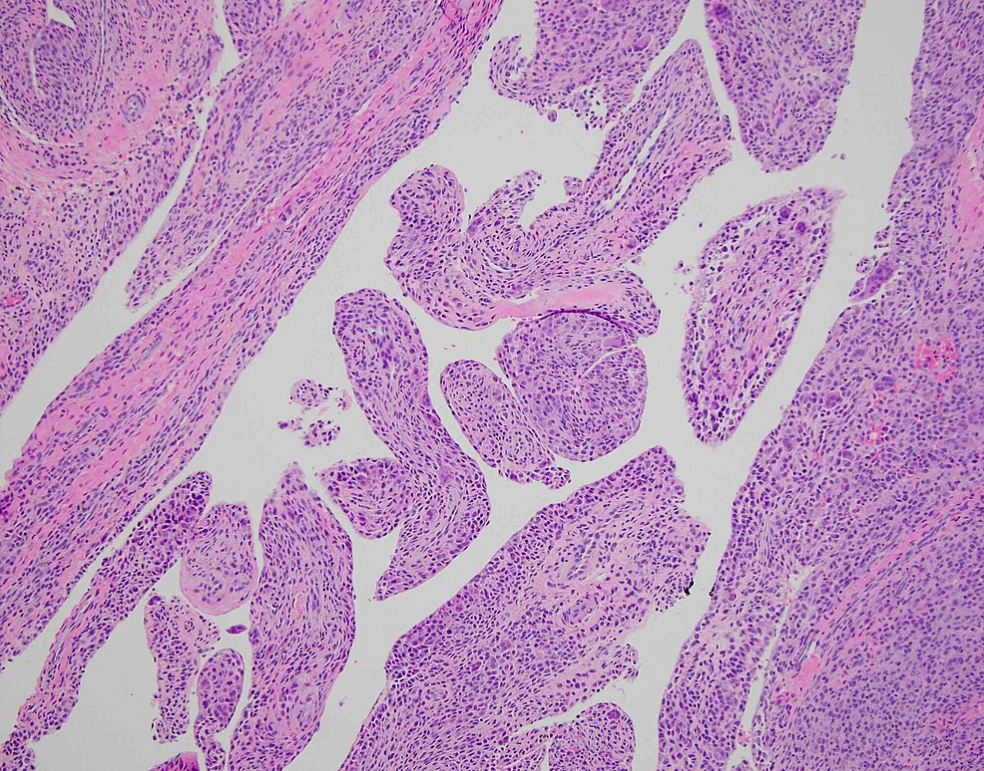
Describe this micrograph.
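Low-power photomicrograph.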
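This is a villous proliferation. Many finger-like and leaf-like fronds of cellular tissue run in several directions. Clear, empty spaces separate them, and some fronds appear detached or cut across. The fronds are crowded with small mononuclear cells that have round to oval dark purple nuclei and modest pink cytoplasm. The cells lie in sheets, and in places they form whorls. Bands of paler pink collagenous stroma run lengthwise through some of the larger fronds. The surfaces of the fronds are lined by cells of the same kind. A few larger, darker cells are scattered within the sheets, especially toward the right. Small clusters of red blood cells appear in places.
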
